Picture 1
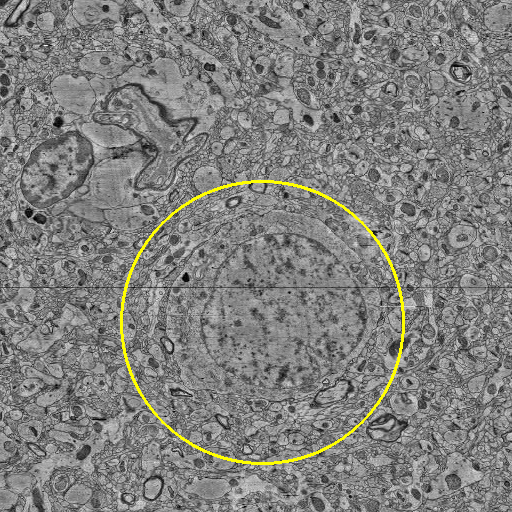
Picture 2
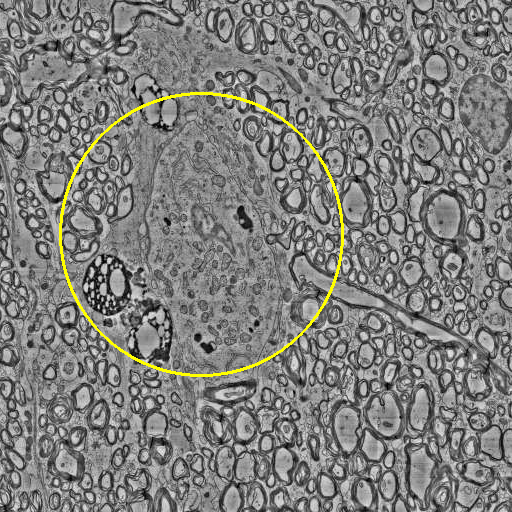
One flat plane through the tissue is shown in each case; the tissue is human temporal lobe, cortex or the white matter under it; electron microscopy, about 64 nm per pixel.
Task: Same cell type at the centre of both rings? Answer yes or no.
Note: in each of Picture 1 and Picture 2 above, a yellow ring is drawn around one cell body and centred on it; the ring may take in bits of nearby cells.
yes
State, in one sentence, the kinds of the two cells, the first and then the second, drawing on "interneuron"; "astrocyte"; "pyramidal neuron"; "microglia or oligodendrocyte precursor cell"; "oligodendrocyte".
In each of the two pictures, the ringed cell is an interneuron.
